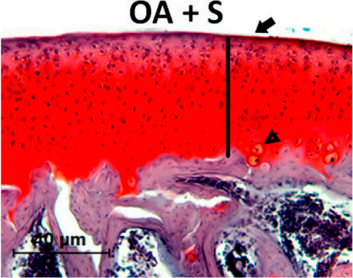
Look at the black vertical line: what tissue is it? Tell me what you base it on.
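Cartilage. The line spans a red-stained layer from the smooth surface down to the bone. Scattered small cells lie in lacunae throughout the red layer.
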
